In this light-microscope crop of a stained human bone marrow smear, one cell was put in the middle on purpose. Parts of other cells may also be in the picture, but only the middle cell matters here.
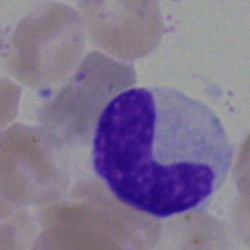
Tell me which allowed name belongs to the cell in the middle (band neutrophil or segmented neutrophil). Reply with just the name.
band neutrophil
